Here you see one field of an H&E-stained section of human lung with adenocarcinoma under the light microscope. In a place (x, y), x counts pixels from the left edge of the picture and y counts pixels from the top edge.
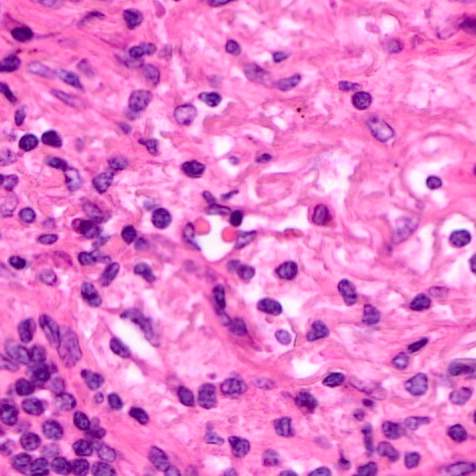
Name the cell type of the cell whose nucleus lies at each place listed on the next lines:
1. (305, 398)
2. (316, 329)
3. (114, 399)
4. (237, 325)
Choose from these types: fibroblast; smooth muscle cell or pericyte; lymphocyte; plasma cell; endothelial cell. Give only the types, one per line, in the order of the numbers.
plasma cell
lymphocyte
lymphocyte
plasma cell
